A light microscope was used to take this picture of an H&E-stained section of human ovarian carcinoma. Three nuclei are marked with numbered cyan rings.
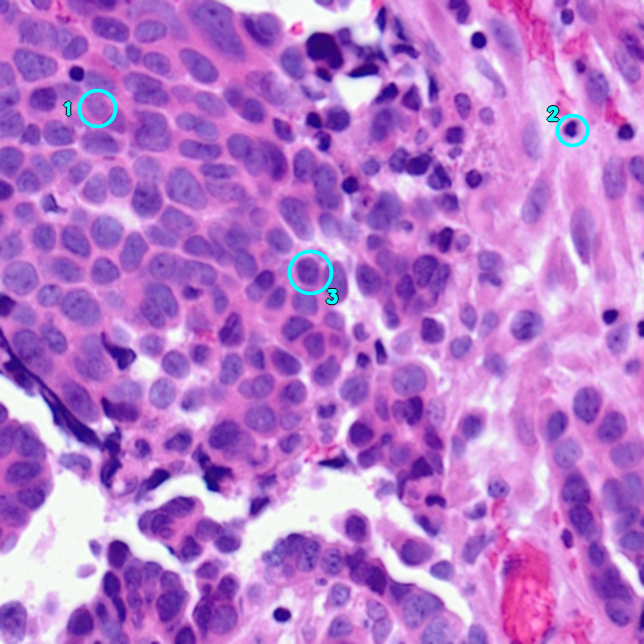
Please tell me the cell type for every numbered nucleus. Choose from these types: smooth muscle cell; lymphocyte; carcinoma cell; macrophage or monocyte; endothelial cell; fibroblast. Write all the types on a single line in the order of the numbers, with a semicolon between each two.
carcinoma cell; lymphocyte; carcinoma cell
